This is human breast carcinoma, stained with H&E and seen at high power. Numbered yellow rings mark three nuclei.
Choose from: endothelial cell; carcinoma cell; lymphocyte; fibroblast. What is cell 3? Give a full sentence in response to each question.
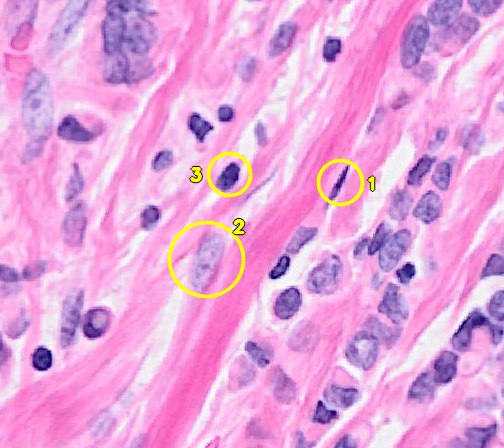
The cell identified by number 3 is a lymphocyte.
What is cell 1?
In this section, the cell tagged 1 is a fibroblast.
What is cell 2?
The cell numbered 2 represents a fibroblast.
